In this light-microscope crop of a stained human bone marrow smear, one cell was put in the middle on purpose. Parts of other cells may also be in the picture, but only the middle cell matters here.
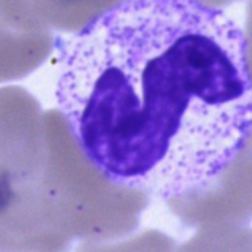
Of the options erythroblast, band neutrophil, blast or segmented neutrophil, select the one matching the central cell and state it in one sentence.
The central cell in this smear crop is a band neutrophil.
